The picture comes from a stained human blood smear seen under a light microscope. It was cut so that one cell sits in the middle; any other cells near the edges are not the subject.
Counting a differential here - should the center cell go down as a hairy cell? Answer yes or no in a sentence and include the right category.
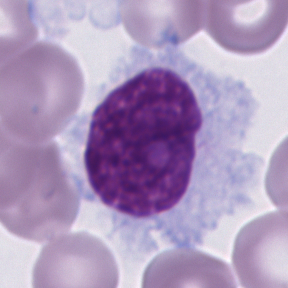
Yes, that middle cell in the crop is a hairy cell.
